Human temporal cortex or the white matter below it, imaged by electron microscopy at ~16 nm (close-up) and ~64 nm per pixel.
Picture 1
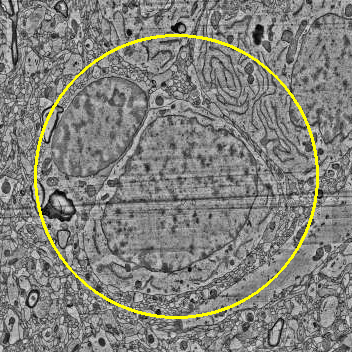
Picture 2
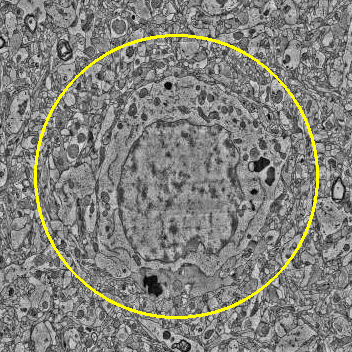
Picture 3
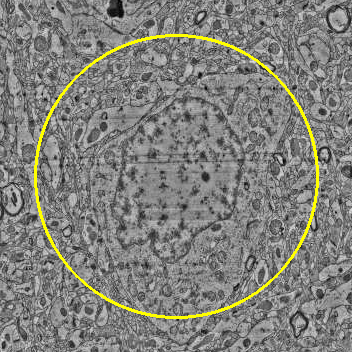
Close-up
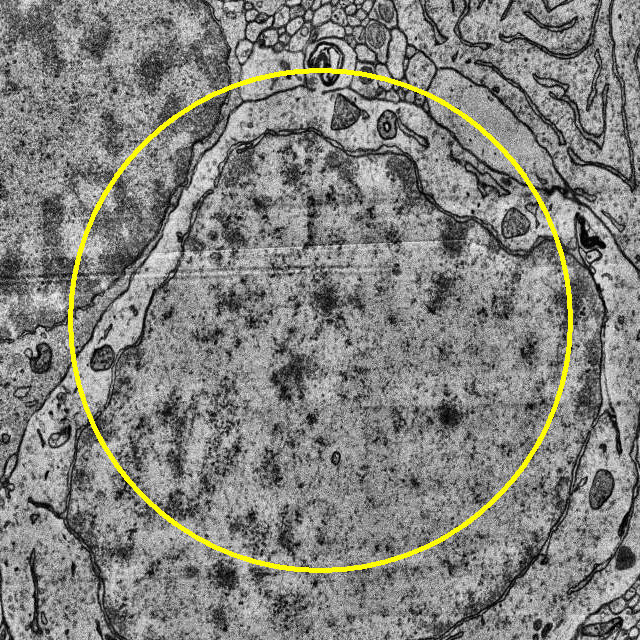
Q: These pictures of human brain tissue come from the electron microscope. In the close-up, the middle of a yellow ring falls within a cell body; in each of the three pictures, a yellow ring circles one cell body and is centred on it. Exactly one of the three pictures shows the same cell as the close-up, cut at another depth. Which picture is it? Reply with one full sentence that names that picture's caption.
The encircled cell in Picture 1 is the cell in the close-up.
